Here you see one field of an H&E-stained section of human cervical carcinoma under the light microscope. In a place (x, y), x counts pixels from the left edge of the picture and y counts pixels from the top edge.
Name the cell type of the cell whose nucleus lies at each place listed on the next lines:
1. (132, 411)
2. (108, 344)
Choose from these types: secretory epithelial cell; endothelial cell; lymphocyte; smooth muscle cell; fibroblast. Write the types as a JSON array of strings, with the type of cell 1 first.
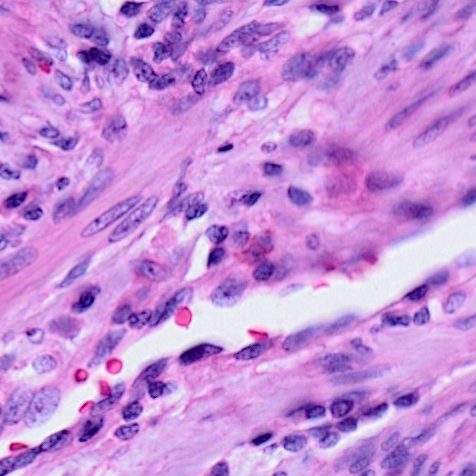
["lymphocyte", "endothelial cell"]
